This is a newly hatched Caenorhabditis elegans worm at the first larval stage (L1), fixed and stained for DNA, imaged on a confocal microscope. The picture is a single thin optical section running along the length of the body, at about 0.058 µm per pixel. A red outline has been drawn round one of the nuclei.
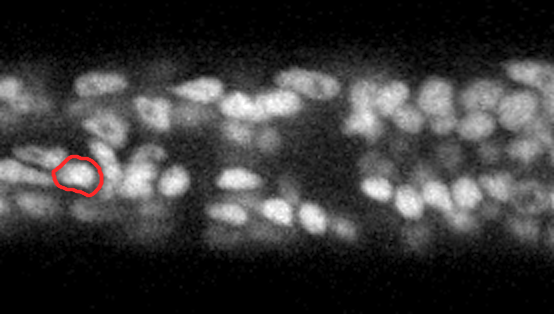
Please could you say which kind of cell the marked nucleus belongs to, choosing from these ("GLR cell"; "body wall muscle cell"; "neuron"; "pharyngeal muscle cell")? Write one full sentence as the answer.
What is marked is the nucleus of a neuron.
